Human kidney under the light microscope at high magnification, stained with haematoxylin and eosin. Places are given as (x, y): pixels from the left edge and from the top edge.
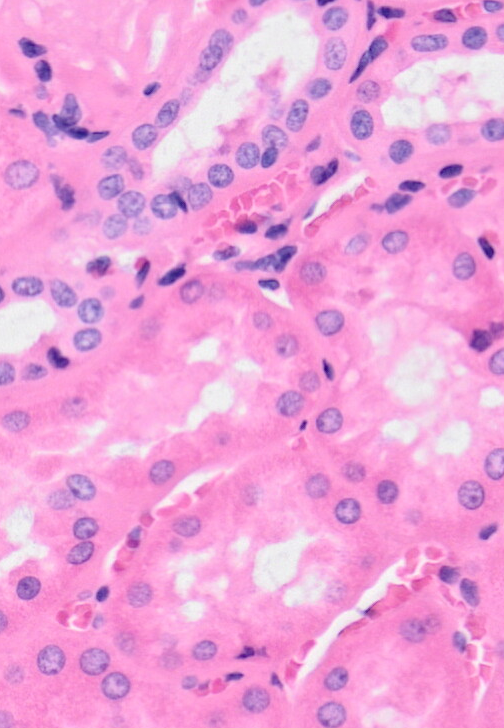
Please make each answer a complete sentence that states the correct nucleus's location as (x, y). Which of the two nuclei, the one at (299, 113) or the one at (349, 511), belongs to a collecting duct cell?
The nucleus at (299, 113), rather than the other, belongs to a collecting duct cell.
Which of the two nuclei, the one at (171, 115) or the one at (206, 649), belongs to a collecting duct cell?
Of these two nuclei, only the one at (171, 115) belongs to a collecting duct cell.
